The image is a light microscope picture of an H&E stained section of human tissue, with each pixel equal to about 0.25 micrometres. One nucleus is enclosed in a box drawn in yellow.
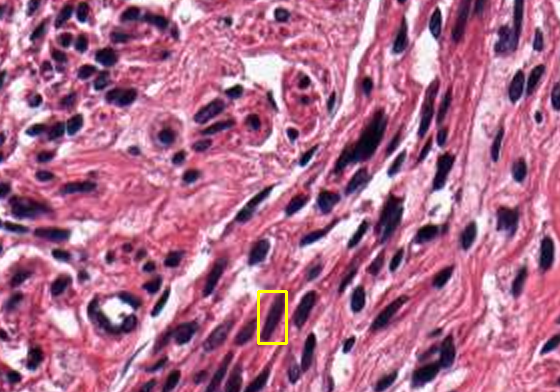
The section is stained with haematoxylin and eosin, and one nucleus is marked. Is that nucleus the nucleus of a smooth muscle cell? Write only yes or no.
yes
